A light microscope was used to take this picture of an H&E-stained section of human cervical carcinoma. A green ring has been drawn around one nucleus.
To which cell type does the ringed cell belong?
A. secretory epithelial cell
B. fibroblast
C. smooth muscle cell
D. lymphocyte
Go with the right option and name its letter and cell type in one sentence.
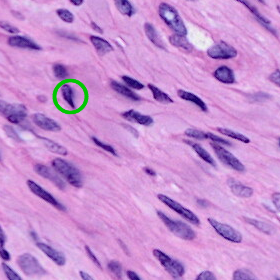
Option B is correct in stating that the ringed cell is a fibroblast.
